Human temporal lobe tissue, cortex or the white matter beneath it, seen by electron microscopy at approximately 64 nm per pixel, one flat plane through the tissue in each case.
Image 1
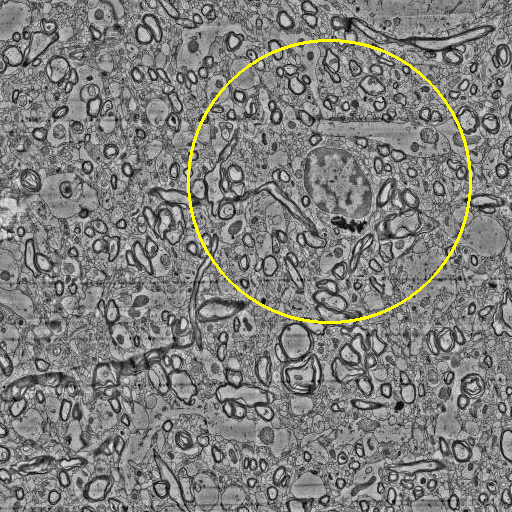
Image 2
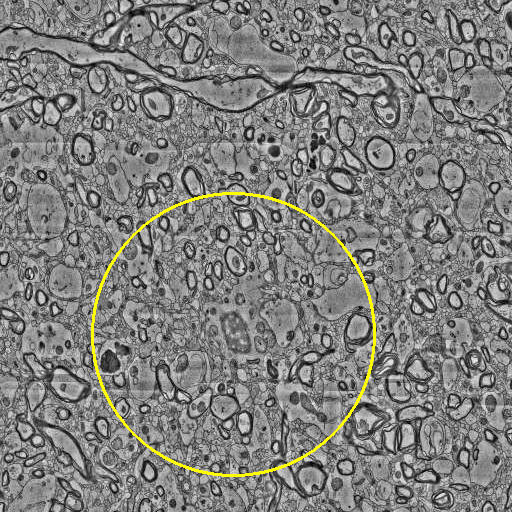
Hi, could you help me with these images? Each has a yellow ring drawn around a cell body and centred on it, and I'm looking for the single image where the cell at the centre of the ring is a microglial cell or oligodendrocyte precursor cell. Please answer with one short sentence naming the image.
It is Image 1 that has it at the centre of its ring.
